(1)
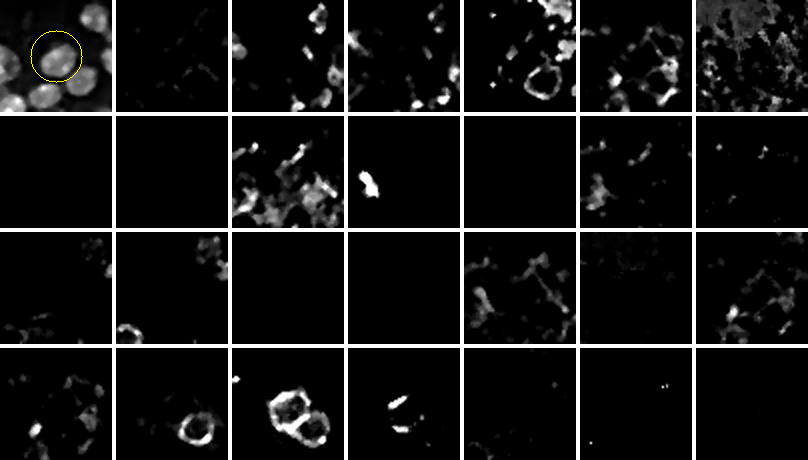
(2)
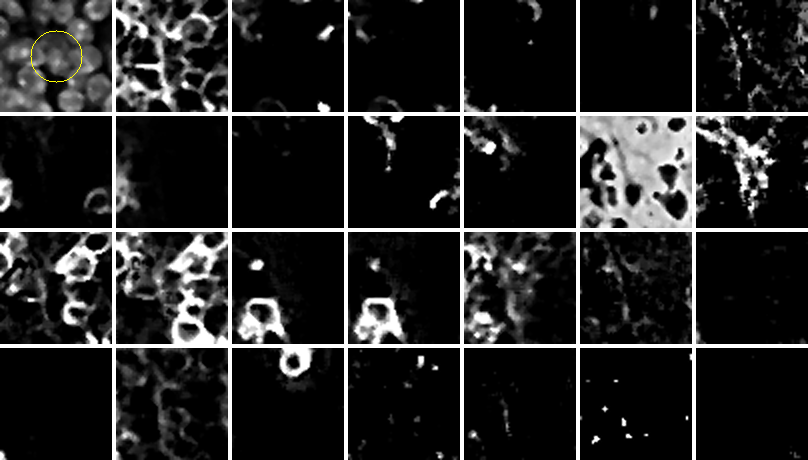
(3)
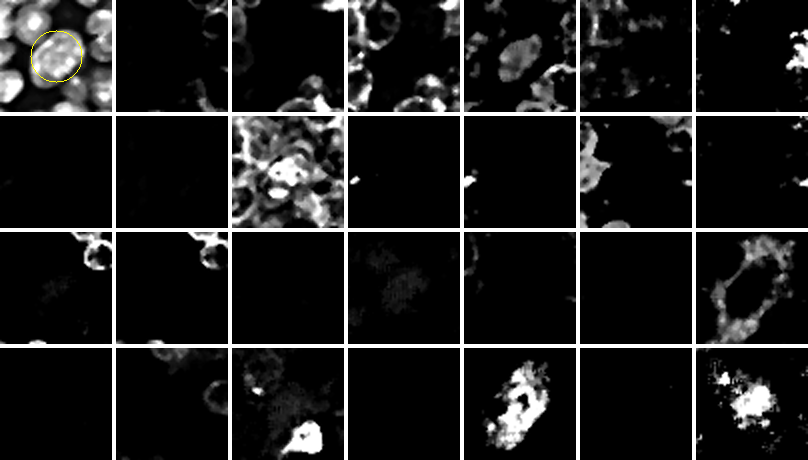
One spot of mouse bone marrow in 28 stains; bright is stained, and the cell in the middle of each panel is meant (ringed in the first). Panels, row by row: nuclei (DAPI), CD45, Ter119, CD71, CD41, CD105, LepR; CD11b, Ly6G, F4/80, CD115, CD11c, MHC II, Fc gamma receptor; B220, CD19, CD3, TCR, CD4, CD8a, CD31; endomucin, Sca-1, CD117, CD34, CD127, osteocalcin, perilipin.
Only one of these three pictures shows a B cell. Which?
Picture 2.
